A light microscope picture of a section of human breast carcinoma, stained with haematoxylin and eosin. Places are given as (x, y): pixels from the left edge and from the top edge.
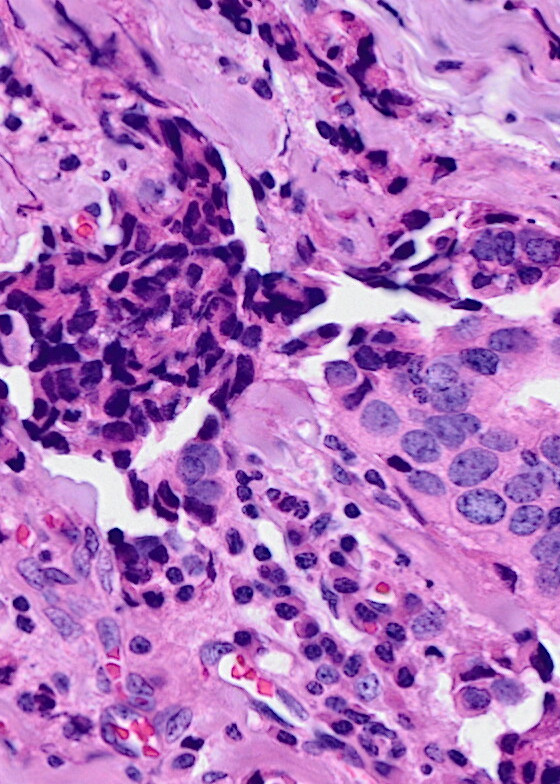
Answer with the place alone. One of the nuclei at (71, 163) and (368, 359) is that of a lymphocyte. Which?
(71, 163)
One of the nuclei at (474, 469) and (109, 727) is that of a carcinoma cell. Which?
(474, 469)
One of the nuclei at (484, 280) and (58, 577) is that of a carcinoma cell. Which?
(484, 280)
